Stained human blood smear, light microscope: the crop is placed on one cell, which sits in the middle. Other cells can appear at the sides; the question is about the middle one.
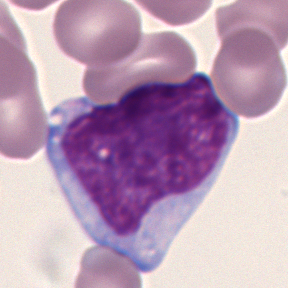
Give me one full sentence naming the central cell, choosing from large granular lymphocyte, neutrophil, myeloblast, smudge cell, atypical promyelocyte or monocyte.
Among the cells in view, the one in the middle is a myeloblast.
